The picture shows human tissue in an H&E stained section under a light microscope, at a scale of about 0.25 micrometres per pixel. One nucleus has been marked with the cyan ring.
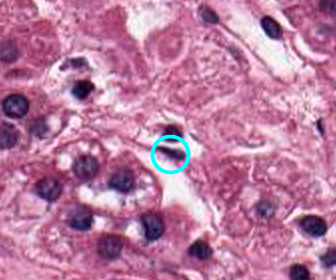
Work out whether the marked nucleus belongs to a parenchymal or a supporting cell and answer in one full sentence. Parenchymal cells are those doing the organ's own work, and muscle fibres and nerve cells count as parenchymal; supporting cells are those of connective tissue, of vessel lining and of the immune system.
Housed within a supporting cell is the marked nucleus.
